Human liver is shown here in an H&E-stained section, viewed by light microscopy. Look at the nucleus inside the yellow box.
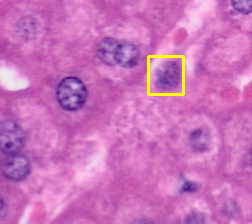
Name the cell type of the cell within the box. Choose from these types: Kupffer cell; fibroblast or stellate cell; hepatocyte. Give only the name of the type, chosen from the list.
Kupffer cell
